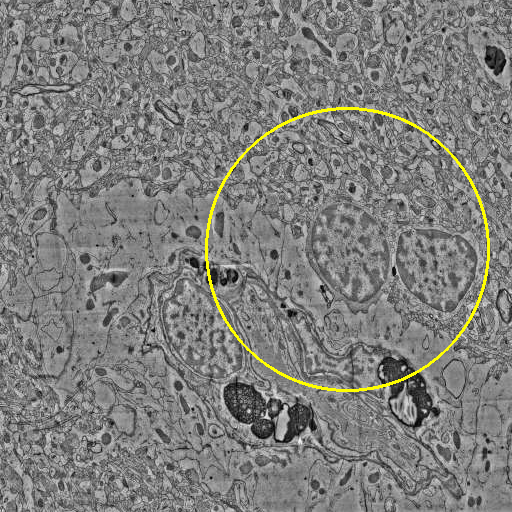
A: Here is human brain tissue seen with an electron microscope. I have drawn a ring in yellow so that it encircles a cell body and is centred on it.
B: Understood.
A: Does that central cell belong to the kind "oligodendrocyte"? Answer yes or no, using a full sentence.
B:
Yes, the central cell inside your yellow ring belongs to that kind.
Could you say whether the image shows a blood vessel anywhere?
Yes, there is one.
